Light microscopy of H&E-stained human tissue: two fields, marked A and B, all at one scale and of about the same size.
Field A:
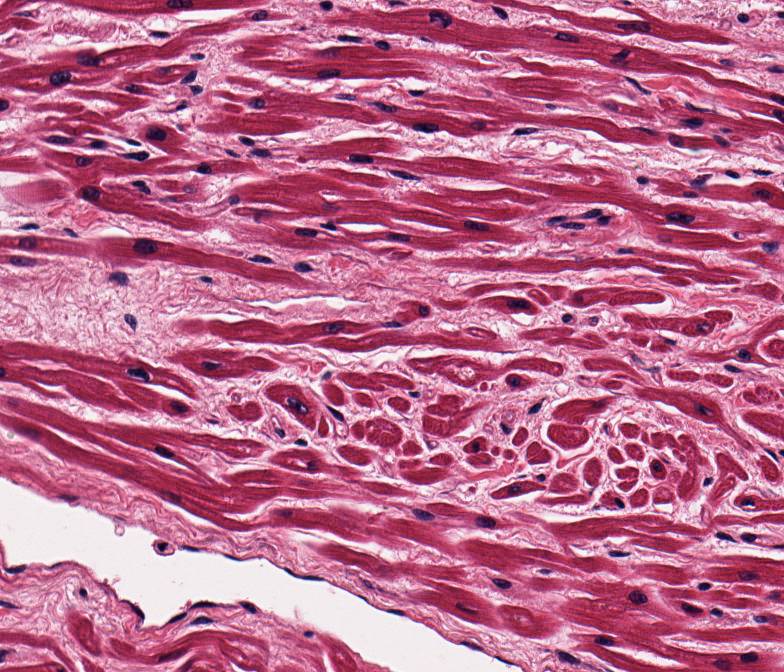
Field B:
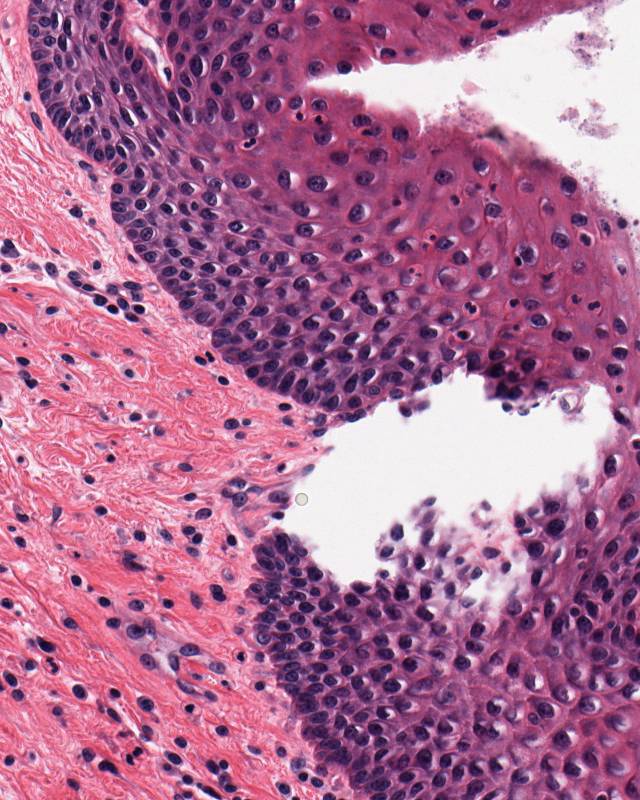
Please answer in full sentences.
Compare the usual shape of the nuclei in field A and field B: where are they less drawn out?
Rounder nuclei lie in field B.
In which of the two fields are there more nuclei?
It is field B that has more nuclei in it.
